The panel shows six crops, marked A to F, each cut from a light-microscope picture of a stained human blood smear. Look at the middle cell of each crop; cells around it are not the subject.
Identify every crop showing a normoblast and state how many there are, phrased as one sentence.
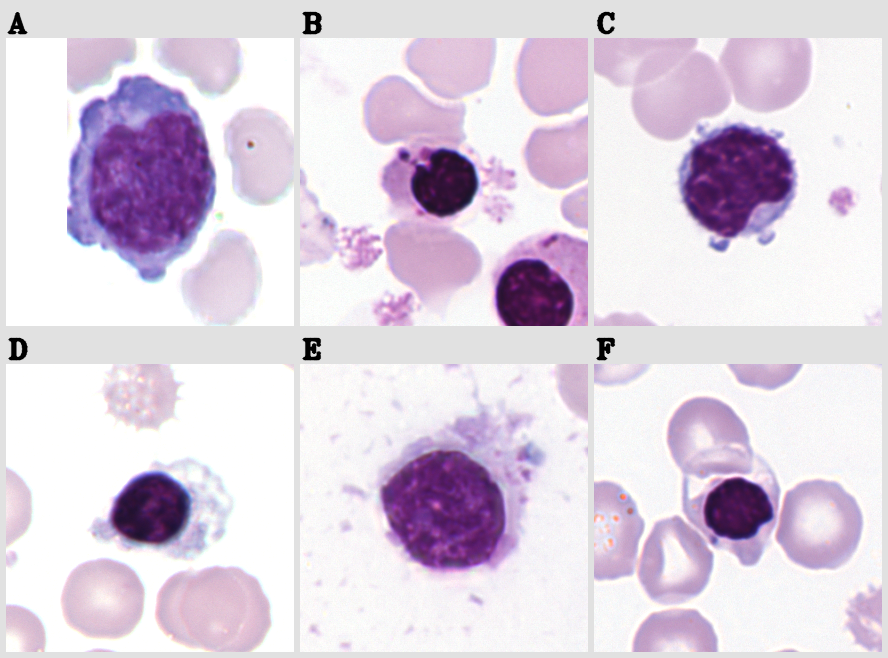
A group of three crops, consisting of B, D and F, shows normoblasts.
